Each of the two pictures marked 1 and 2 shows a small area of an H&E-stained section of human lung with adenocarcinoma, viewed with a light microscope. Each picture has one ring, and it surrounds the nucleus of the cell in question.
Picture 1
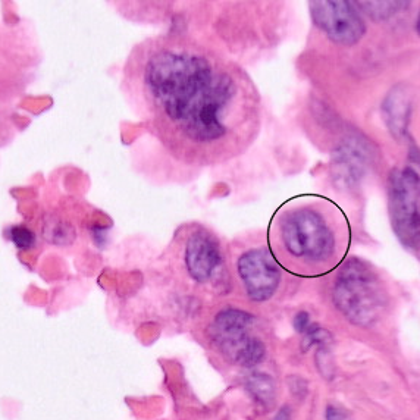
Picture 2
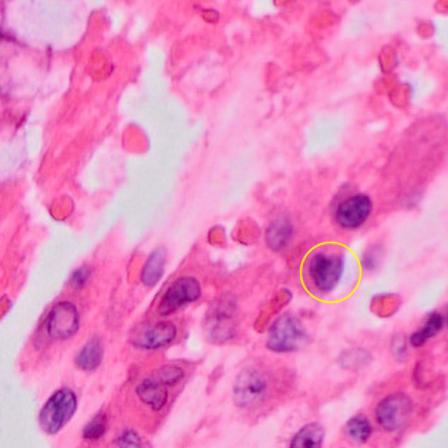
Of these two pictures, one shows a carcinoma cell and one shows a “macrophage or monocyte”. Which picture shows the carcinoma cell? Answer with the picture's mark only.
1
